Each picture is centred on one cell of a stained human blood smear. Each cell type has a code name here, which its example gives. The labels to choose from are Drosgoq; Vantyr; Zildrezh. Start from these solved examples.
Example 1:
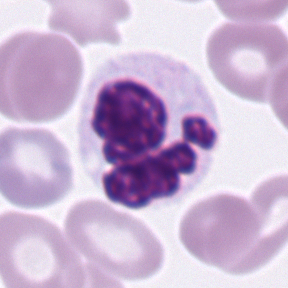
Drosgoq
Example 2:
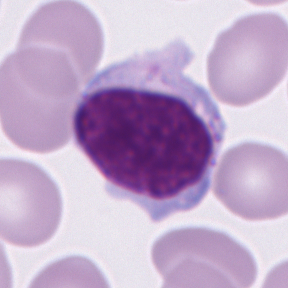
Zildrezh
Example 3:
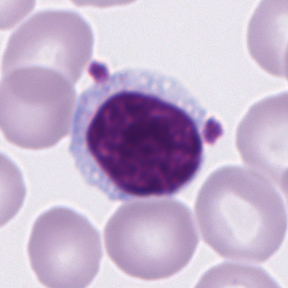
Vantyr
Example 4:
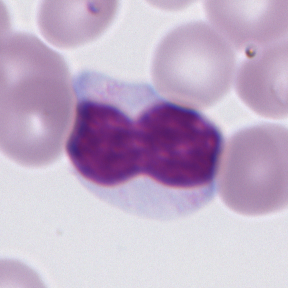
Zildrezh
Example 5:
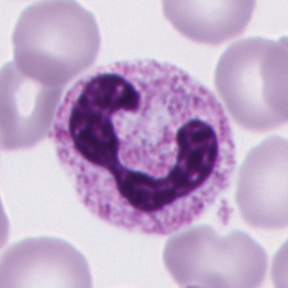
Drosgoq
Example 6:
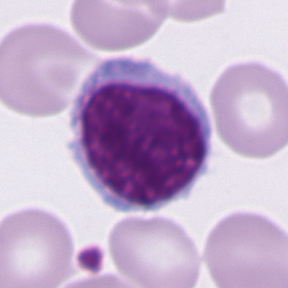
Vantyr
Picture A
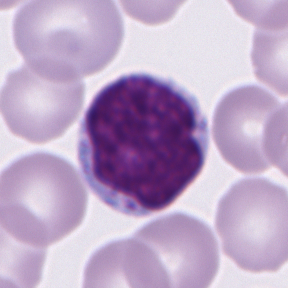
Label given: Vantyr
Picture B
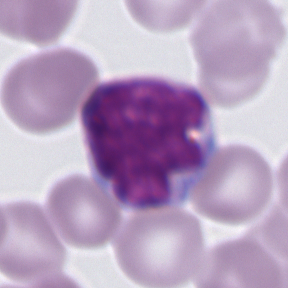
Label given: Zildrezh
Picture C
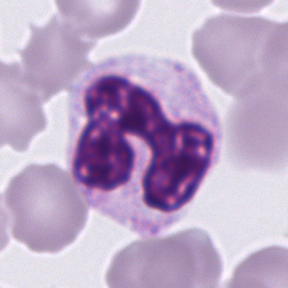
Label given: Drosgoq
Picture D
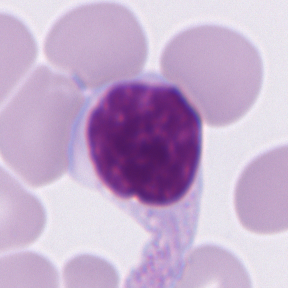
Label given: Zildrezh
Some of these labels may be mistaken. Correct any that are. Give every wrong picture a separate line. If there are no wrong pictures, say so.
All labels are correct.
